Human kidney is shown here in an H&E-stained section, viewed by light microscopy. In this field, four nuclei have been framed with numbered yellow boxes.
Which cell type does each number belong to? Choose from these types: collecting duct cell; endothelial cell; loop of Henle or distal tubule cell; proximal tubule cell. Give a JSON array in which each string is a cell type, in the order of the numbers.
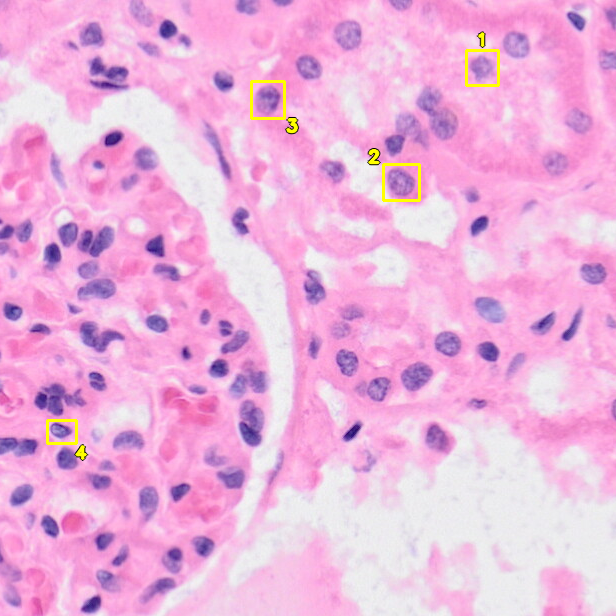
["proximal tubule cell", "proximal tubule cell", "proximal tubule cell", "endothelial cell"]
